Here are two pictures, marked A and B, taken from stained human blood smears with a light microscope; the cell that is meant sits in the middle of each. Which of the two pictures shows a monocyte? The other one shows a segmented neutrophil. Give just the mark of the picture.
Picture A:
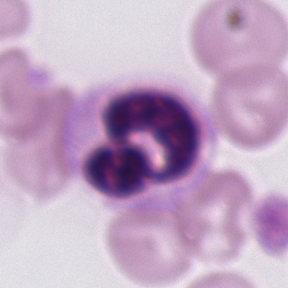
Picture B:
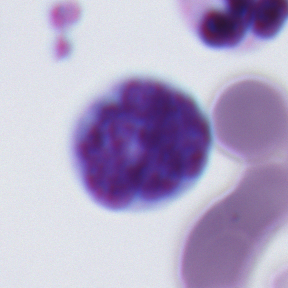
B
